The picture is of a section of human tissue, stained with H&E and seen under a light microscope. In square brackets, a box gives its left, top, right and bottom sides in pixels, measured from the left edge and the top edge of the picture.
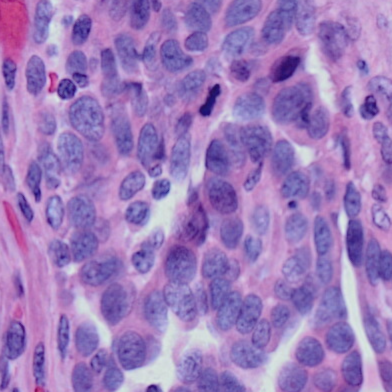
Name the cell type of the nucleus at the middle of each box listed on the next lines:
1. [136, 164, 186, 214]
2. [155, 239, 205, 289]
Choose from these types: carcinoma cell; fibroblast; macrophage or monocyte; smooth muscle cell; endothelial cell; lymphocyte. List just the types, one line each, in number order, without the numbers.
lymphocyte
carcinoma cell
